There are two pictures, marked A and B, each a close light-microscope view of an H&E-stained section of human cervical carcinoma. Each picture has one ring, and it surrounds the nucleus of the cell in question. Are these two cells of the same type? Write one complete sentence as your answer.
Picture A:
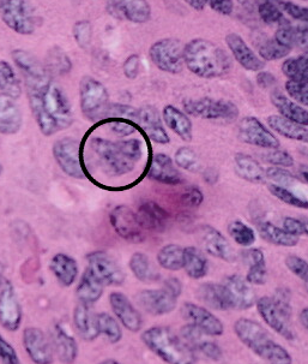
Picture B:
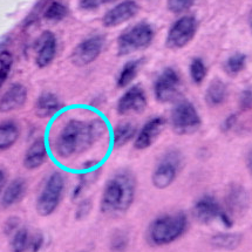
Yes, the two pictures both show squamous carcinoma cells.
